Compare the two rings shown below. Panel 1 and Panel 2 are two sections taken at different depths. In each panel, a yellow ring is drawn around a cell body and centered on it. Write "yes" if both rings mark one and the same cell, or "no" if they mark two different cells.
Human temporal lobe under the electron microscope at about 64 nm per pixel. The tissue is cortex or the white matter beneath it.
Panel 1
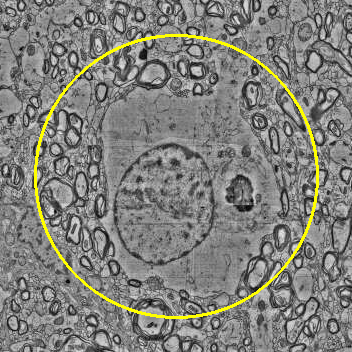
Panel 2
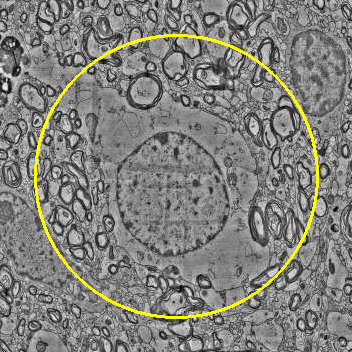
yes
